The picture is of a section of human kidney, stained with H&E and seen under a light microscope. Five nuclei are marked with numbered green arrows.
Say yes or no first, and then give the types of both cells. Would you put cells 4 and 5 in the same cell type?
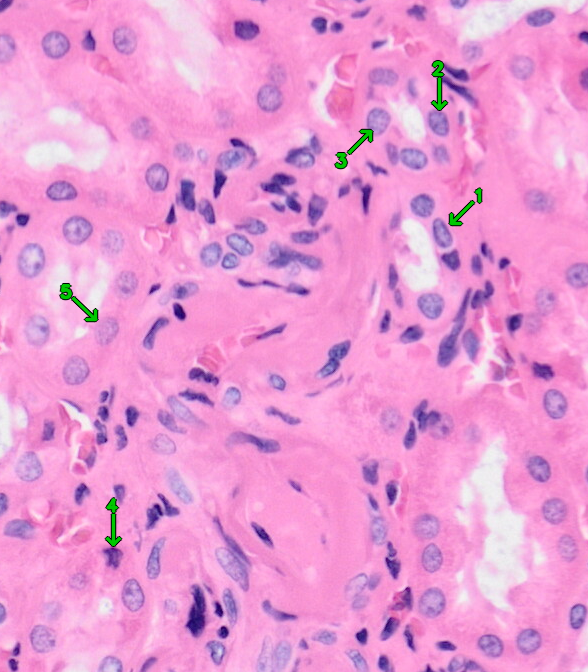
Yes, both are proximal tubule cells.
